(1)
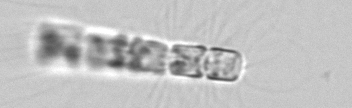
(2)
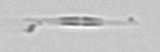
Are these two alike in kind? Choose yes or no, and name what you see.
No. First Bacteriastrum furcatum, second Cylindrotheca.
